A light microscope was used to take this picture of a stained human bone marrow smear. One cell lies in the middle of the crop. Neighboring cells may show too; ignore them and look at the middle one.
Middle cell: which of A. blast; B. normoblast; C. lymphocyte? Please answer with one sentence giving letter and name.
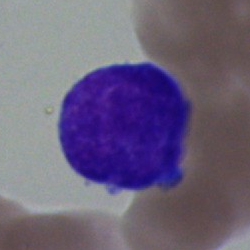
What option A states is correct, the central cell being a blast.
